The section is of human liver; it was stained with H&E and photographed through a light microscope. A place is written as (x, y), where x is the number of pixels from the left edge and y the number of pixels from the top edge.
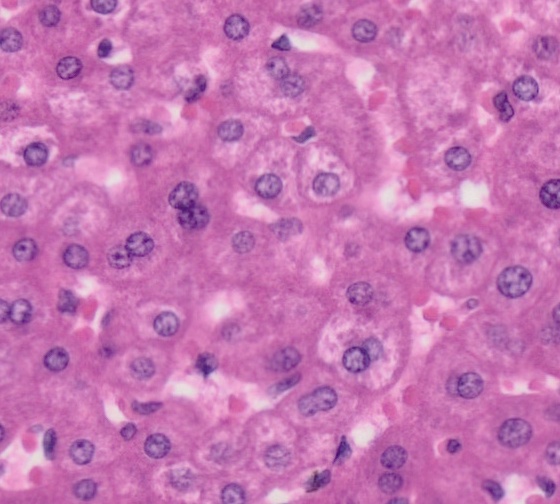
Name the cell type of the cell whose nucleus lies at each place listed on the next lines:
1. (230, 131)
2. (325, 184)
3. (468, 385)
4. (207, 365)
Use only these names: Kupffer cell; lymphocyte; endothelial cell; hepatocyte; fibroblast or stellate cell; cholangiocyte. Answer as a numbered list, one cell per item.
1. hepatocyte
2. hepatocyte
3. hepatocyte
4. endothelial cell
